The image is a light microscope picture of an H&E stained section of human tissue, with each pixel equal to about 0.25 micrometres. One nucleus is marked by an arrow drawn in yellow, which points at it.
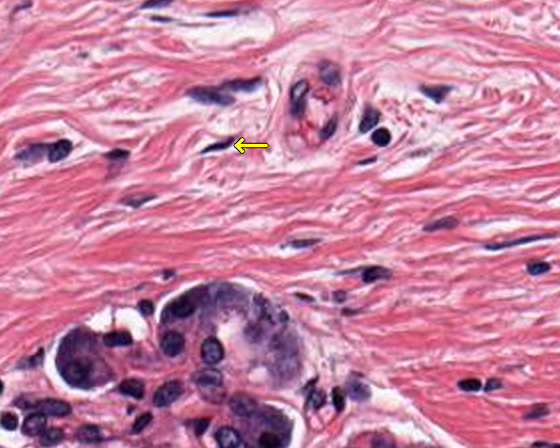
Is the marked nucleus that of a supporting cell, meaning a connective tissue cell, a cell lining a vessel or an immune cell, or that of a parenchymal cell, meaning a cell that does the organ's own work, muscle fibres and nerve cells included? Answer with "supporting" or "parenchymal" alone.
supporting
